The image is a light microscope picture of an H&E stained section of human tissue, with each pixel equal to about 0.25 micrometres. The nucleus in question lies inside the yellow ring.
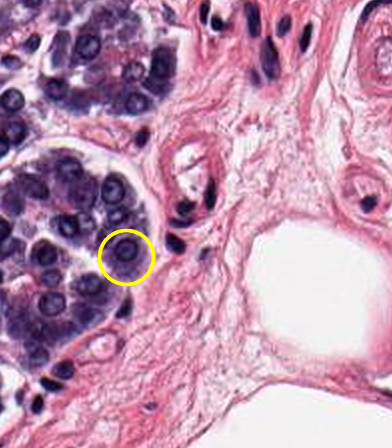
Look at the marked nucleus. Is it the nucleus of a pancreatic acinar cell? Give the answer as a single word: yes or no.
yes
